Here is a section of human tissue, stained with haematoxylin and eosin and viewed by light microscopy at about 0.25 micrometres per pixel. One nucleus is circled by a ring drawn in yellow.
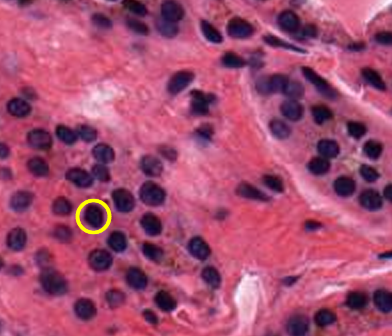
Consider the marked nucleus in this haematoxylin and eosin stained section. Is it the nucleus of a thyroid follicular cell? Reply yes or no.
yes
